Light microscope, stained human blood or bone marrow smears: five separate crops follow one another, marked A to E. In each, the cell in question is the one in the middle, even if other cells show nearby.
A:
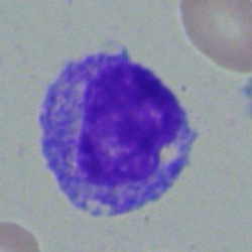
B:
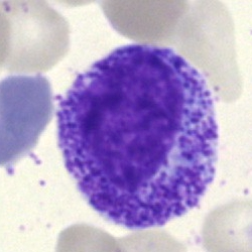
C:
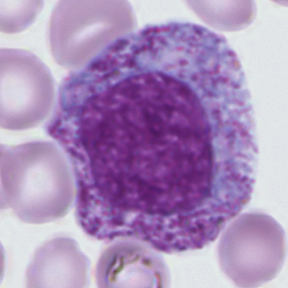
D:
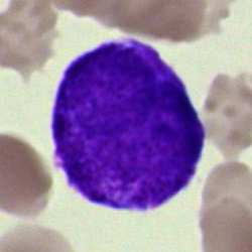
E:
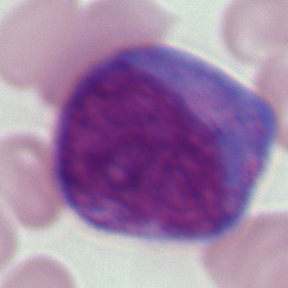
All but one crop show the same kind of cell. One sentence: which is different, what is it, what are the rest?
Crop A breaks the pattern as a myelocyte; the other crops all contain promyelocytes.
